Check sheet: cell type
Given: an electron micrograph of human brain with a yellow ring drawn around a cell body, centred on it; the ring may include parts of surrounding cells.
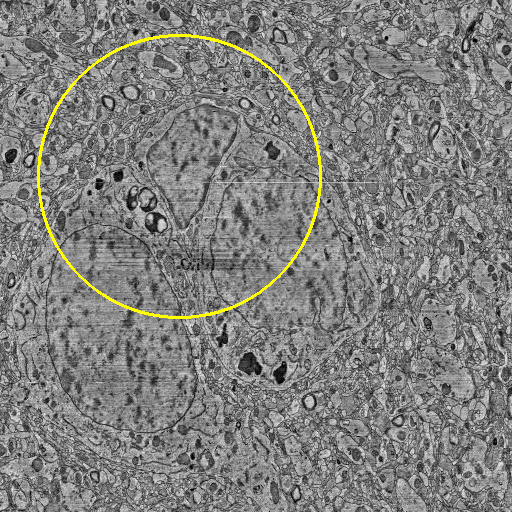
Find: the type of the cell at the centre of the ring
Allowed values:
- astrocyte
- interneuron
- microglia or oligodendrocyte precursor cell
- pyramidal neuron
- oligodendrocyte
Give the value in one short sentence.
Here the ringed cell is a microglial cell or oligodendrocyte precursor cell.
